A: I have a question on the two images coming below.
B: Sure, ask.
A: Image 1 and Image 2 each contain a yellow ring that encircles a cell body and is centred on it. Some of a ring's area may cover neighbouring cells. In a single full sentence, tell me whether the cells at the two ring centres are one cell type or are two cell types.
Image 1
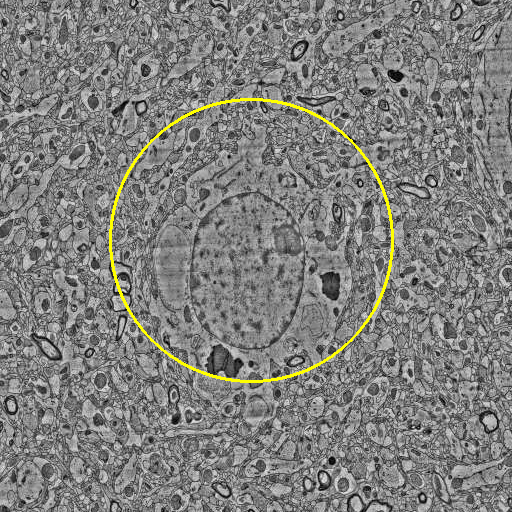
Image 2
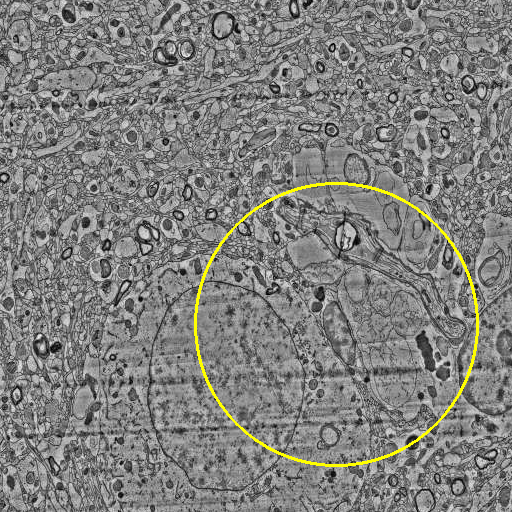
As for the ring-centre cells, the one in Image 1 and the one in Image 2 are two cell types.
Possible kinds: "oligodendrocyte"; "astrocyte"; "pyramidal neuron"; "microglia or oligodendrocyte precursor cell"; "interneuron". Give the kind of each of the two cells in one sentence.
The cell in the second picture is a microglial cell or oligodendrocyte precursor cell, and that in the first is an astrocyte.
